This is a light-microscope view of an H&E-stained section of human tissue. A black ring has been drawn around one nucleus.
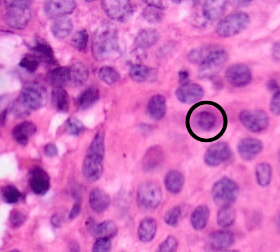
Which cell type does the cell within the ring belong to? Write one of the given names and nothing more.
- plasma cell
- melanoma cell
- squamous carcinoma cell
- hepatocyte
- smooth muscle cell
plasma cell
